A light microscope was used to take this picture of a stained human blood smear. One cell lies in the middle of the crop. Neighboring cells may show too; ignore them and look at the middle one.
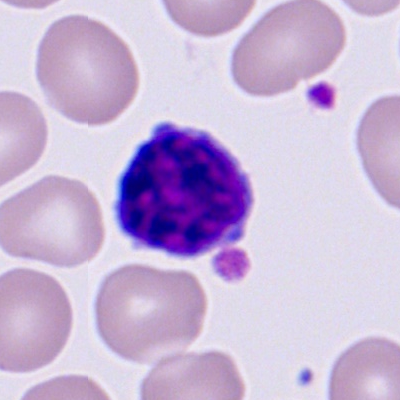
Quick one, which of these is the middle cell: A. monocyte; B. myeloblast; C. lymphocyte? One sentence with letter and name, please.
Option C is to be chosen, as the central cell is a lymphocyte.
